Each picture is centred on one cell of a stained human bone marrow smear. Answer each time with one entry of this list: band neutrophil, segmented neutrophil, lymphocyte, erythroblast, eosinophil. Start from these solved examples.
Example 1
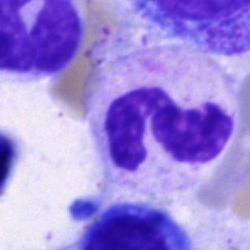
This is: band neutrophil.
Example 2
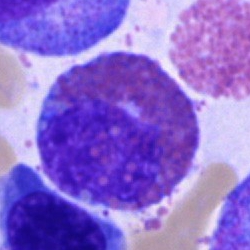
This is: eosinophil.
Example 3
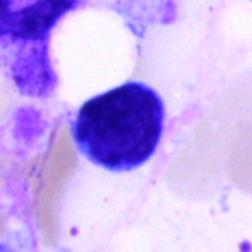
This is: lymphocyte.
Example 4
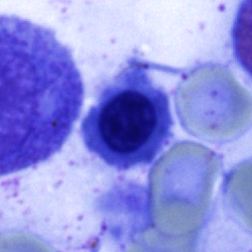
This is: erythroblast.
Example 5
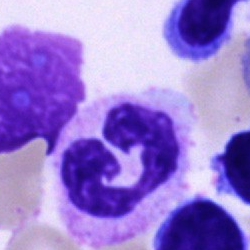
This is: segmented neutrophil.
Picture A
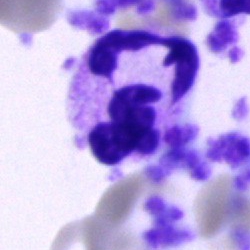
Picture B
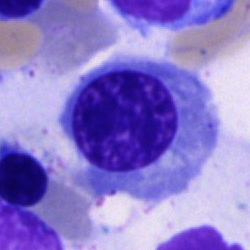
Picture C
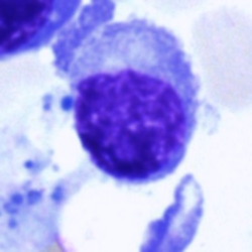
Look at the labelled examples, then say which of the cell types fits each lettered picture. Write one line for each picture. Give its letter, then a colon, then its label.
A: segmented neutrophil.
B: erythroblast.
C: lymphocyte.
